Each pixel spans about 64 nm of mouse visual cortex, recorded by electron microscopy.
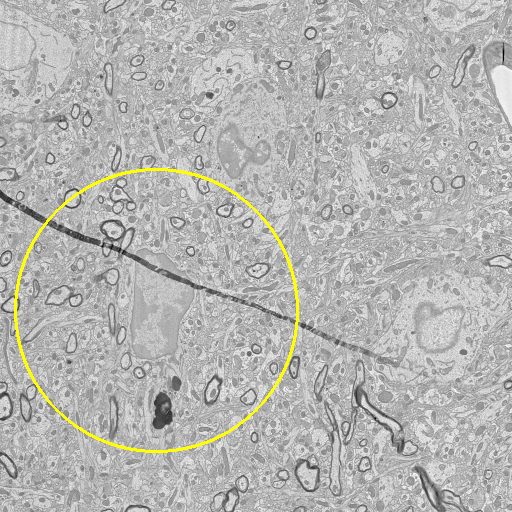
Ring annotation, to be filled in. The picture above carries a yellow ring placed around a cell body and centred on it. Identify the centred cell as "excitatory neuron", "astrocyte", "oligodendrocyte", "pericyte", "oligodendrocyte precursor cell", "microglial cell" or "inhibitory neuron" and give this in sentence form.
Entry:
The cell in the middle of the ring is a microglial cell.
